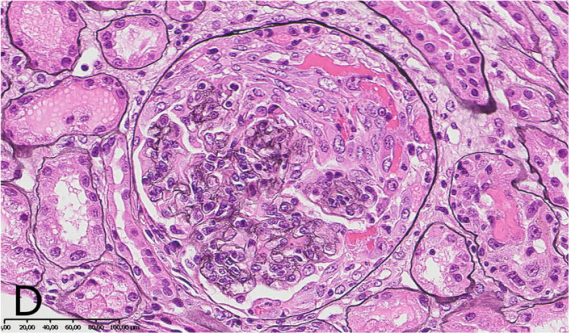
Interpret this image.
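A glomerulus in renal cortex is shown, with a crescent of proliferating cells filling Bowman's space and pressing the capillary tuft to one side. Within the glomerulus lies bright pink, smudgy acellular material amid the cells, and the capsule is outlined by a thin black silver-stained line. Surrounding tubules have cuboidal epithelium, some containing pink casts.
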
